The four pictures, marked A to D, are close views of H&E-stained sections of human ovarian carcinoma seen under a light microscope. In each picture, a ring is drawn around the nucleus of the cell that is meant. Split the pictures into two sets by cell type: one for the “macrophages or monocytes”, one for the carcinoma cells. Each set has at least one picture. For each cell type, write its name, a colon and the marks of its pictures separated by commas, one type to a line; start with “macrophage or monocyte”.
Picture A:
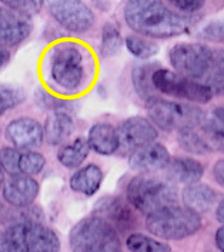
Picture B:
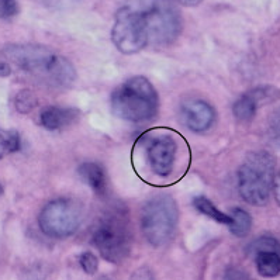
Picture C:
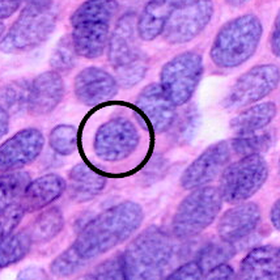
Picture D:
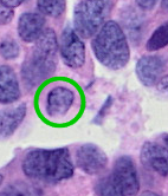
macrophage or monocyte: A, B, D
carcinoma cell: C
